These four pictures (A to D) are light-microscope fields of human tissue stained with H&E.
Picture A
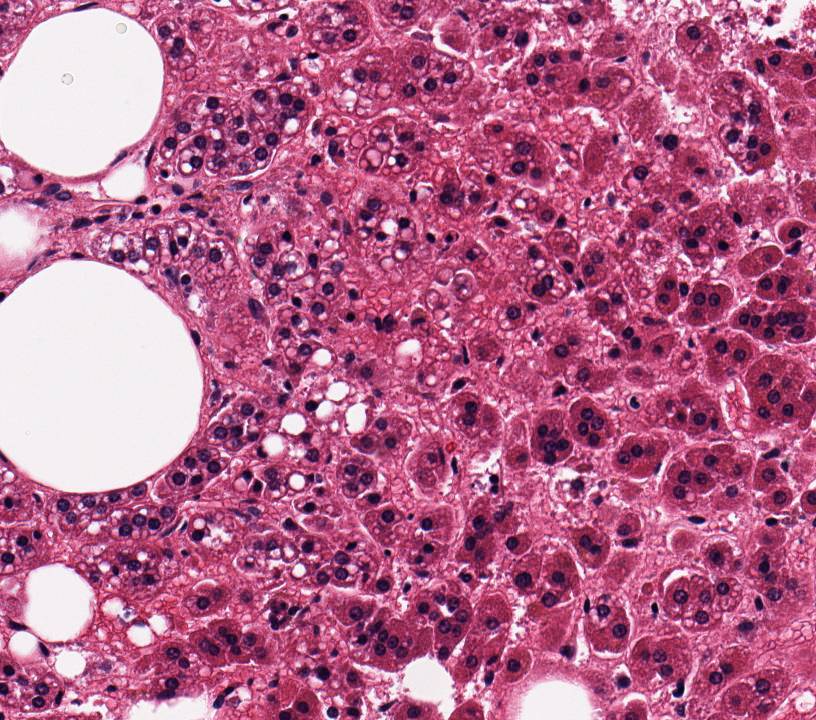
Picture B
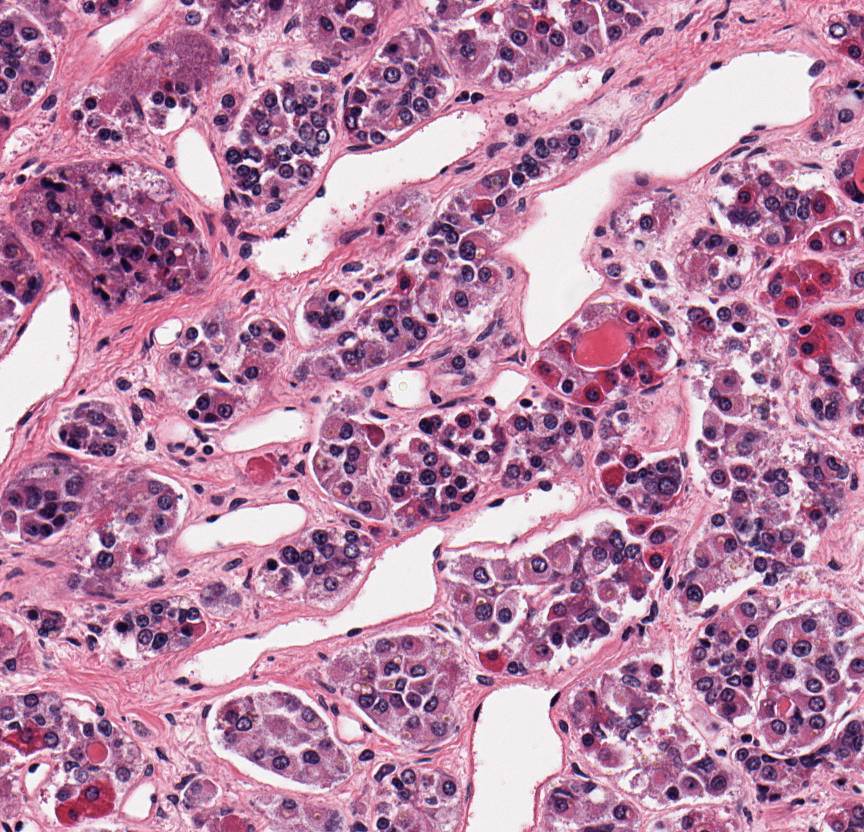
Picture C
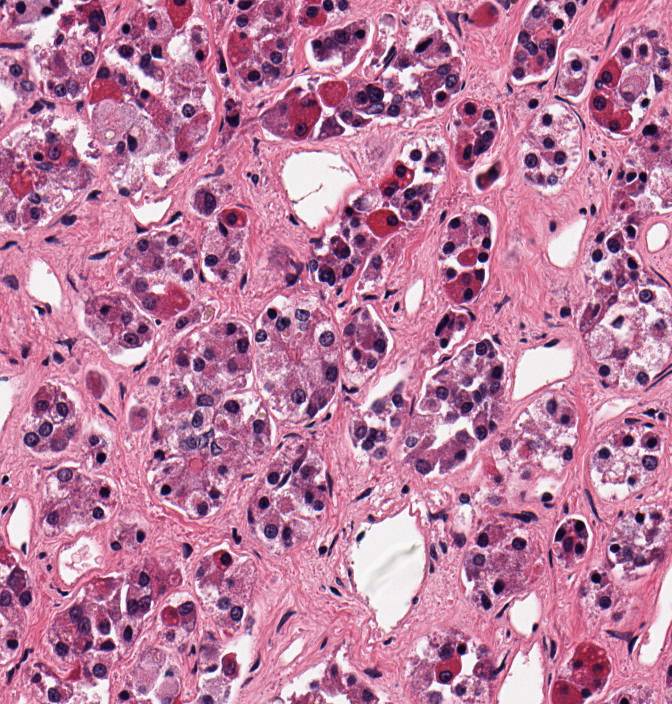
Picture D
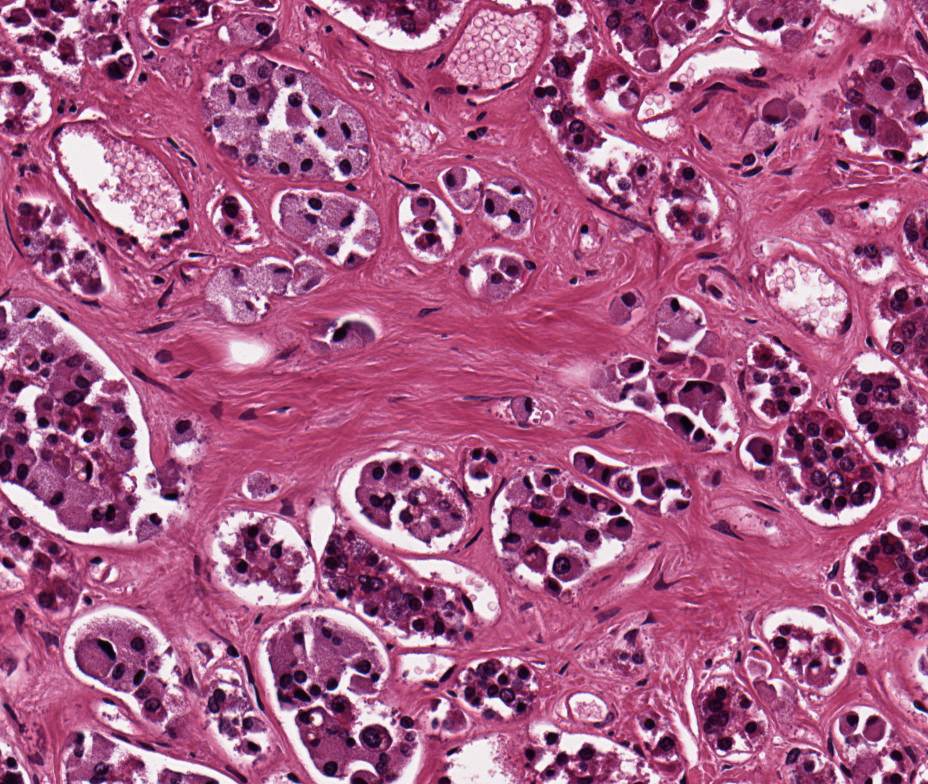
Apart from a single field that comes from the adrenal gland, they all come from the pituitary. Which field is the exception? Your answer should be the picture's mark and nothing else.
A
